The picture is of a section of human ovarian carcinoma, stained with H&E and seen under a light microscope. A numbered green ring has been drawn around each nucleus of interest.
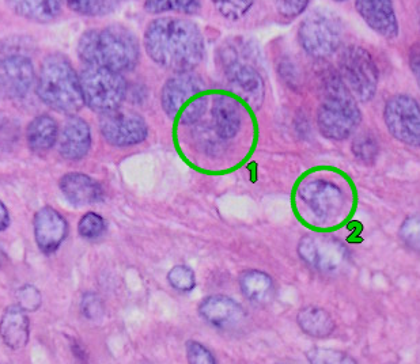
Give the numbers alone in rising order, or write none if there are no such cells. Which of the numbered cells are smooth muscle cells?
none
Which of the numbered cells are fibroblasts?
2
